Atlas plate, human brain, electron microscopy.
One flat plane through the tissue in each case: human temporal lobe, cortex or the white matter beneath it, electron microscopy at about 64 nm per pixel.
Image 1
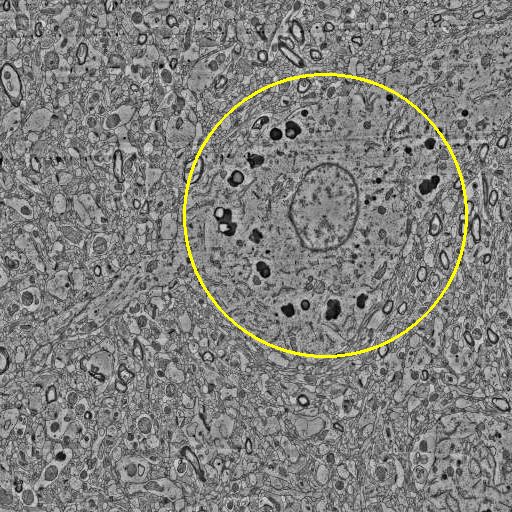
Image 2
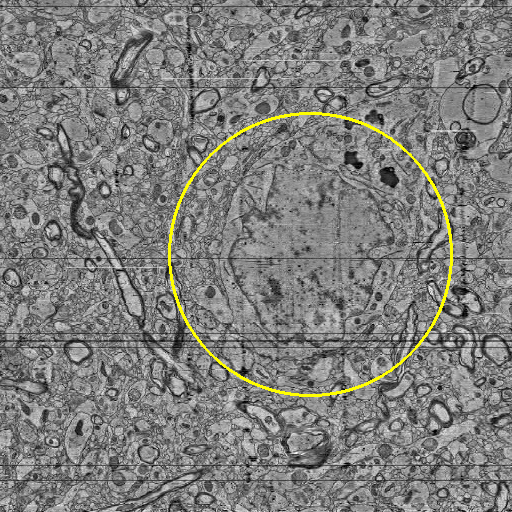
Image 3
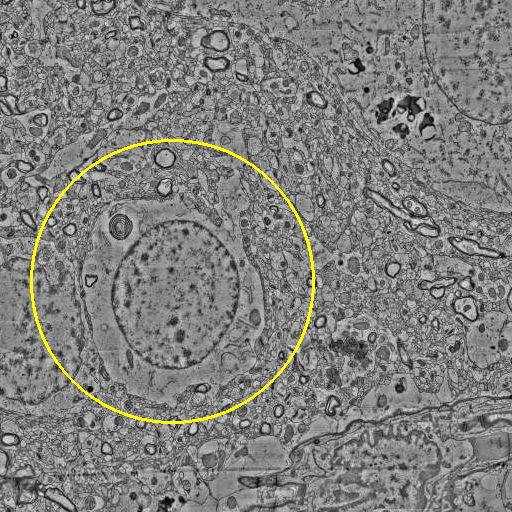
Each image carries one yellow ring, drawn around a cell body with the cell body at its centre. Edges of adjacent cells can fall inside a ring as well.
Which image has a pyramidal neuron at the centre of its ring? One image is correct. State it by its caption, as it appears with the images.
Image 1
